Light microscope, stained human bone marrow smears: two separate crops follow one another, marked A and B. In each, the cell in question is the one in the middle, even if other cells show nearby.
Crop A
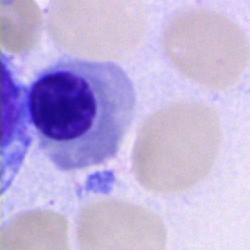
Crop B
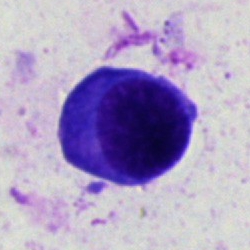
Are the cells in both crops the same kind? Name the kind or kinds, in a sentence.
No, crop A holds an erythroblast, and a plasma cell occupies crop B.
